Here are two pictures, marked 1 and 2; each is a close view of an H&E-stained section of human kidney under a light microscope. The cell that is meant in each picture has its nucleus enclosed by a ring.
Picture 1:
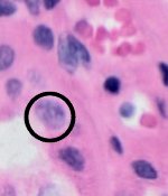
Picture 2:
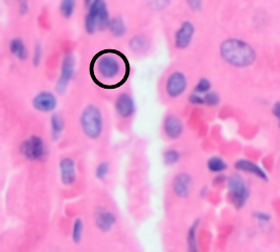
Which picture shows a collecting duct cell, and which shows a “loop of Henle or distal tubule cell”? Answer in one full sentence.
The cell in picture 1 is a collecting duct cell, and the one in picture 2 is a “loop of Henle or distal tubule cell”.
